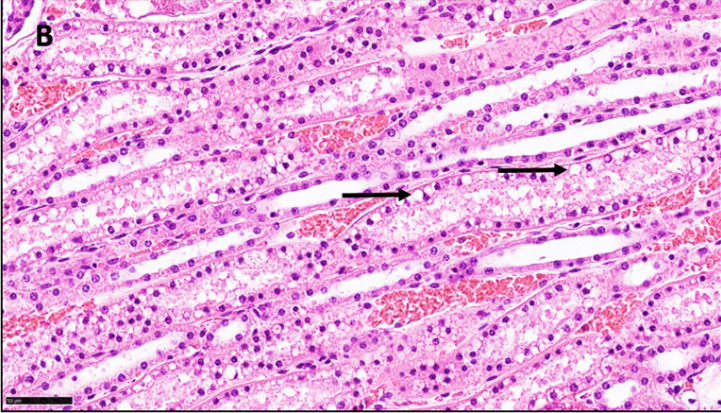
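Kidney tubules running in parallel, cut lengthwise, are lined by epithelial cells with dark round nuclei and pink cytoplasm containing round clear vacuoles of varying size. Between the tubules, interstitial capillaries are distended and packed with red blood cells.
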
